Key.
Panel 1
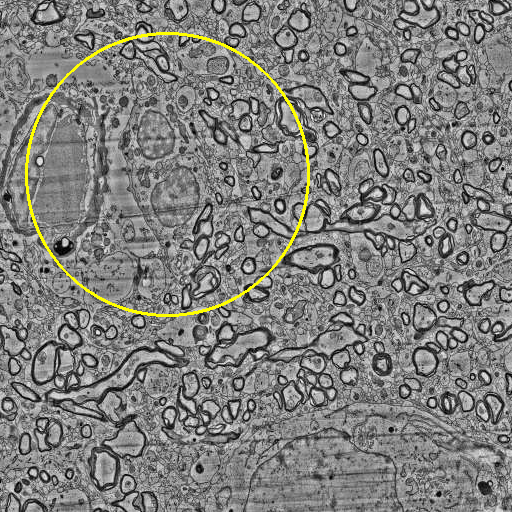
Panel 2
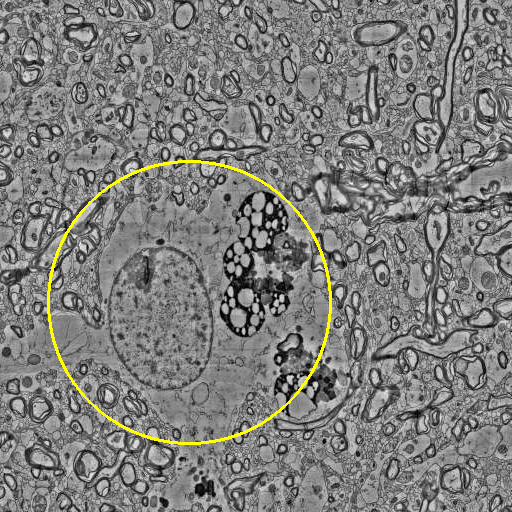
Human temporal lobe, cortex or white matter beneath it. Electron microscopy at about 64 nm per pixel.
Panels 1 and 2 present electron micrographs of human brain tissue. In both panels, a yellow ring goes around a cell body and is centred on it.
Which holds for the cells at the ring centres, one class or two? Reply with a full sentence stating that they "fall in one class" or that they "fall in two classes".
Taken together, the ring-centre cells of the two panels fall in two classes.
